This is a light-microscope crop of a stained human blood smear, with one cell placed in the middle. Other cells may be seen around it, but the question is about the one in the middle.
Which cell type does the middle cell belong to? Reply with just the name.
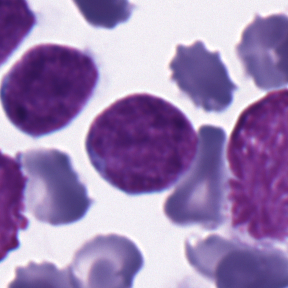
myeloblast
